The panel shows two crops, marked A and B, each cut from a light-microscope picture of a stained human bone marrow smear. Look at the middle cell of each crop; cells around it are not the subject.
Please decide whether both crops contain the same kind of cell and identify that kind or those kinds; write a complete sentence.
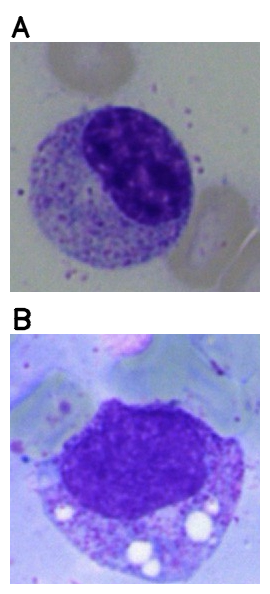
Yes, the cells at the centres of the two crops are myelocytes.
